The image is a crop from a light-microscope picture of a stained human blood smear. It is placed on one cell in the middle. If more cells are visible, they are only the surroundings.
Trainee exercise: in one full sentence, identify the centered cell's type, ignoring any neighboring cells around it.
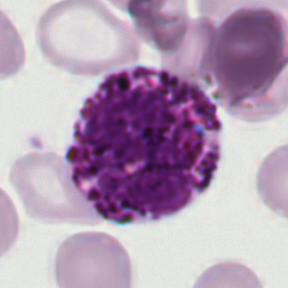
Here the centrally located cell is a basophil.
